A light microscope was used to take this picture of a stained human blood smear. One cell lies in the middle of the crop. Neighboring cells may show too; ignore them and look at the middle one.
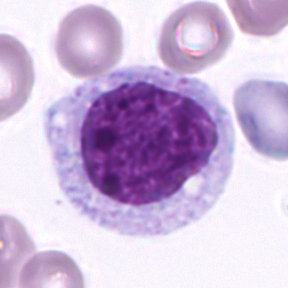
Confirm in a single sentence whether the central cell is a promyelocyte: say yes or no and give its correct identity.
No, the cell in the middle should be called a myelocyte instead of a promyelocyte.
